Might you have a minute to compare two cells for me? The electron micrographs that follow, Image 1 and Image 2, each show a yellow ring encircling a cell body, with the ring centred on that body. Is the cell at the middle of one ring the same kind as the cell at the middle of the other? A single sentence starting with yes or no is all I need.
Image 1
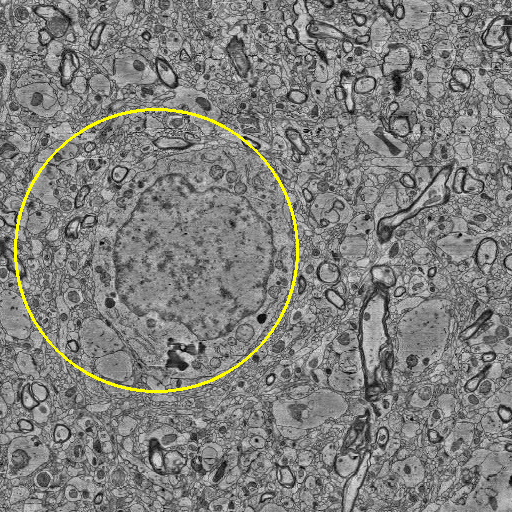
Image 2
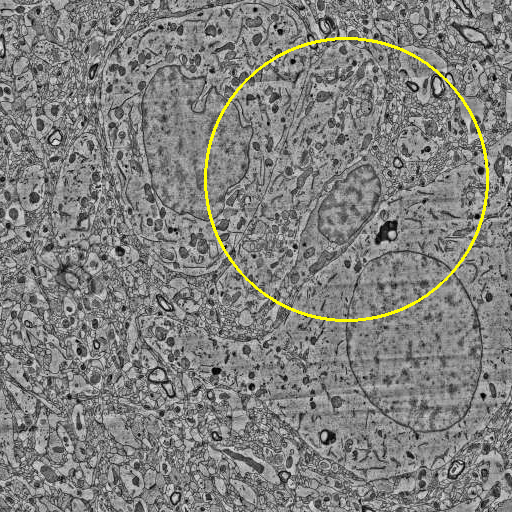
No, the cells in the middle of the two rings are of two separate kinds.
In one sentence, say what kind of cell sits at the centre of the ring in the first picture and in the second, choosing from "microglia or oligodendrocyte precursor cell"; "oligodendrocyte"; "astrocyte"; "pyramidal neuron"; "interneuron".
The first picture's ringed cell is an interneuron, while the second picture's is an oligodendrocyte.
